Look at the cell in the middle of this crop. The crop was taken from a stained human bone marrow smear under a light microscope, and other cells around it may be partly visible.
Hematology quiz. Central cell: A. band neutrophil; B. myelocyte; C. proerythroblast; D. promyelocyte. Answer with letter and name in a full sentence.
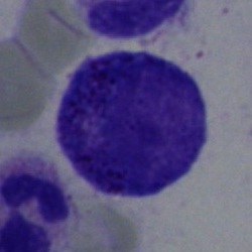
What sits in the middle of the crop is a promyelocyte, and option D is correct.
